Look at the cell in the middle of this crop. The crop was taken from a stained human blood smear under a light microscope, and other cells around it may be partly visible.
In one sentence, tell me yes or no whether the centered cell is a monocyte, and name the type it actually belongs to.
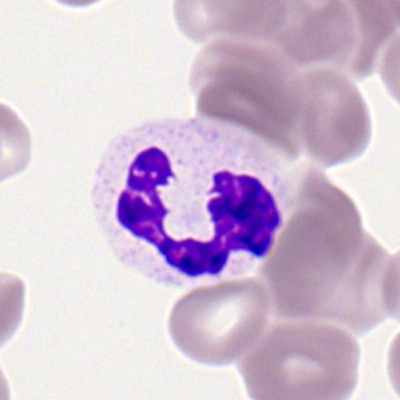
No, instead of being a monocyte, the middle cell is a segmented neutrophil.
